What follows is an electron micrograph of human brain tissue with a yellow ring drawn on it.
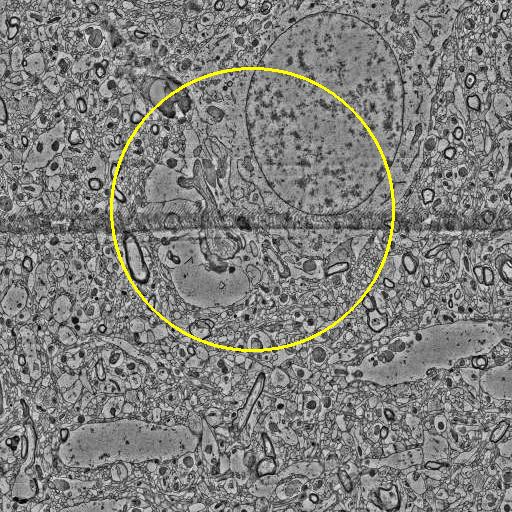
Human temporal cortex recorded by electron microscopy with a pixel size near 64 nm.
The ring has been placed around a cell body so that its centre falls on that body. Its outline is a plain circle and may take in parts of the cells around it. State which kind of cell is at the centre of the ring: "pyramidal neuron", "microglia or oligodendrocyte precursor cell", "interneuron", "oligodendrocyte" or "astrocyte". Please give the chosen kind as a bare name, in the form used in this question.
oligodendrocyte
